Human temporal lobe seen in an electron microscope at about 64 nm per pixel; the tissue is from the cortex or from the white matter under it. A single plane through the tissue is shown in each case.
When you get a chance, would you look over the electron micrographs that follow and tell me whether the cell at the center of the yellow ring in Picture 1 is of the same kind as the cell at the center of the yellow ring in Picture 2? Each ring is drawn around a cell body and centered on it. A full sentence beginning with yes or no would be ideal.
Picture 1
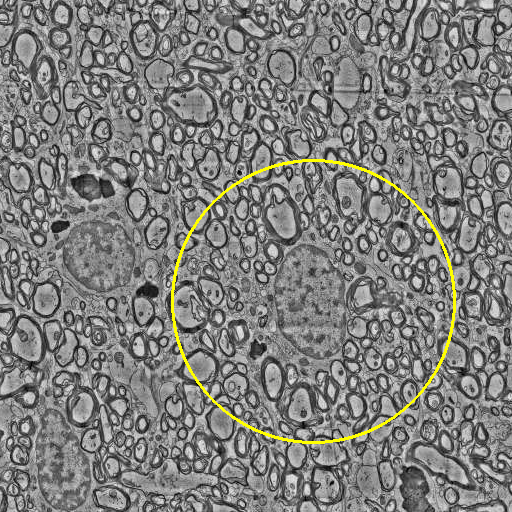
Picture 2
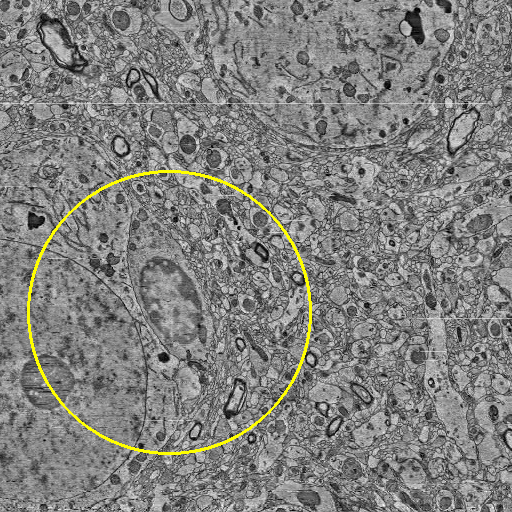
Yes, the two cells are of the same kind.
